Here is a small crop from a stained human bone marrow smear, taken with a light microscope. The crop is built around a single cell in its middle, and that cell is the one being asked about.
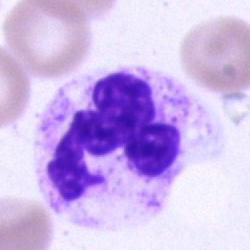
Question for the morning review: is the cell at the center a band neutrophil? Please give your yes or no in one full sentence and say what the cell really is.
No, this is not a band neutrophil at all; the cell in the middle is a segmented neutrophil.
